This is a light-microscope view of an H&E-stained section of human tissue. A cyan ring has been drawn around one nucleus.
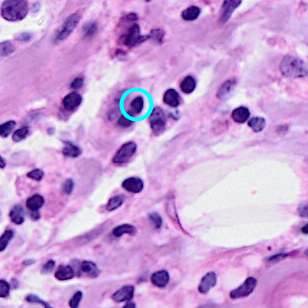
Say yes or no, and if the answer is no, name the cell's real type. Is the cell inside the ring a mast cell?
No, it is a lymphocyte.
